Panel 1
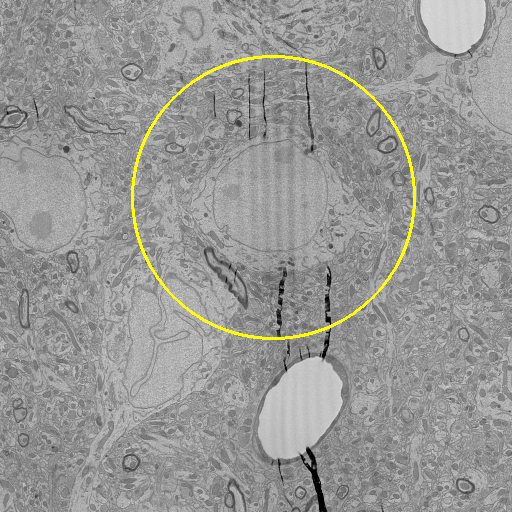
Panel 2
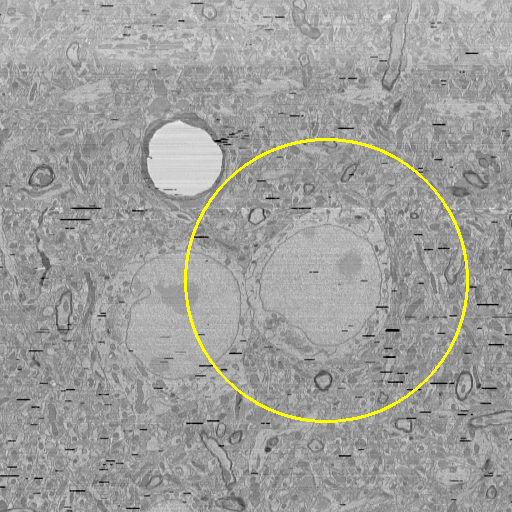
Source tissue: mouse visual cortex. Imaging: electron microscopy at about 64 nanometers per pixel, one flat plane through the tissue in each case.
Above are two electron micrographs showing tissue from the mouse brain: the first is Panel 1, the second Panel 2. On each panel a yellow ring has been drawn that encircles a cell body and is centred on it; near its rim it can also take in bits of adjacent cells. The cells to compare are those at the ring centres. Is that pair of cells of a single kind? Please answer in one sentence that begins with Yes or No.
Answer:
Yes, the ring-centred cells of Panel 1 and Panel 2 belong to one kind.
